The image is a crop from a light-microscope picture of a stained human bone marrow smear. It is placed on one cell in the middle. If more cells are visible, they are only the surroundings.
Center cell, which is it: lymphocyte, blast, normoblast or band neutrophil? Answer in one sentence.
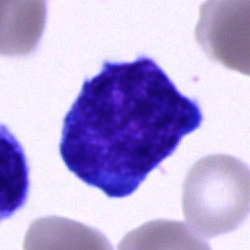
Among the cells in view, the one in the middle is a blast.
